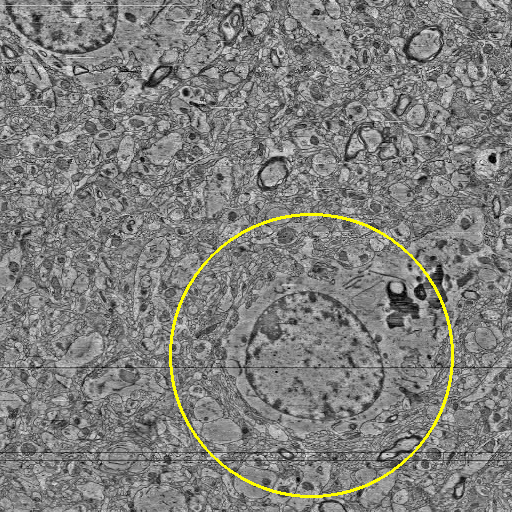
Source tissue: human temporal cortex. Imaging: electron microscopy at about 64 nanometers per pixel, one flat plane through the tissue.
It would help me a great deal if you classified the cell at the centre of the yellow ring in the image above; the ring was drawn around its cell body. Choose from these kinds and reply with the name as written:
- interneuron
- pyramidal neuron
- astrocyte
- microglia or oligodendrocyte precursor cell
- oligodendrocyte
astrocyte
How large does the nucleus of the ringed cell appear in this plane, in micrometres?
Roughly 9 micrometres across, measured in this plane.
